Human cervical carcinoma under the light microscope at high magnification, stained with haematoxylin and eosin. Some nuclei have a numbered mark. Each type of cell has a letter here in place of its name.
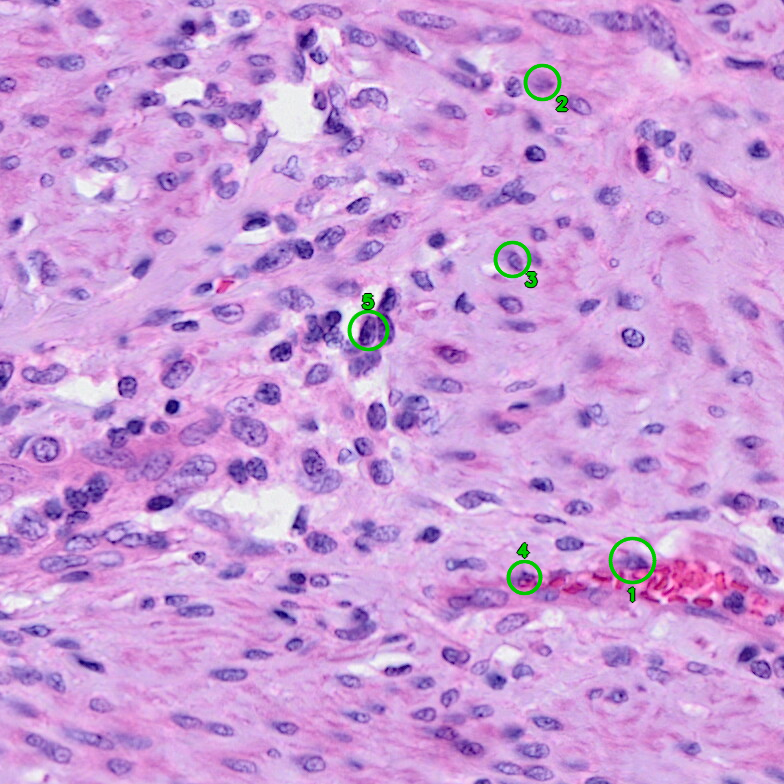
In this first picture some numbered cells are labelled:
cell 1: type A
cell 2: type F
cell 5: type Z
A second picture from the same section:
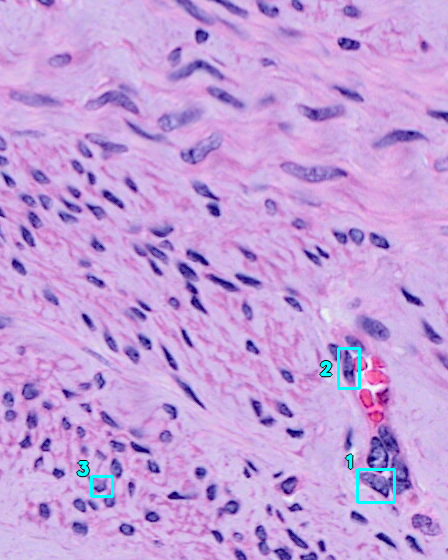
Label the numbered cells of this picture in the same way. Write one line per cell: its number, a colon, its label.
1: type A
2: type A
3: type F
